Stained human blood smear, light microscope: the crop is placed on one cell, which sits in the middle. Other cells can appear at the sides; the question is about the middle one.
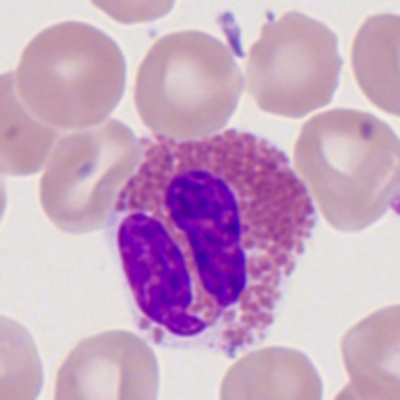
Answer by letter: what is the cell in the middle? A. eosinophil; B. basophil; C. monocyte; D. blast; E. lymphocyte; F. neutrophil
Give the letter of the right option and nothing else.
A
